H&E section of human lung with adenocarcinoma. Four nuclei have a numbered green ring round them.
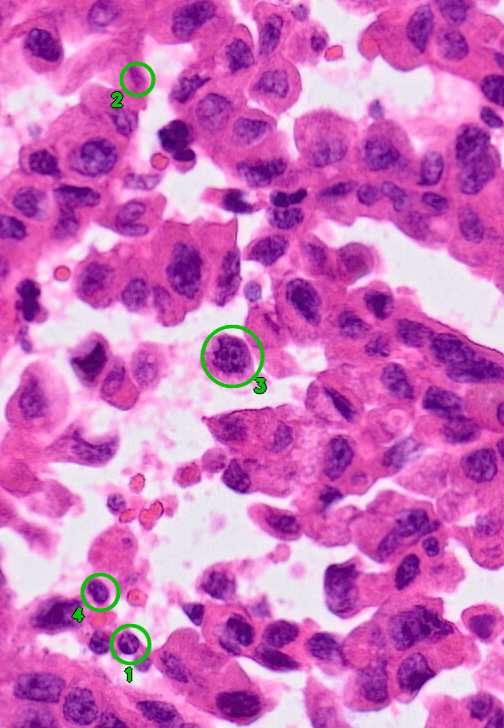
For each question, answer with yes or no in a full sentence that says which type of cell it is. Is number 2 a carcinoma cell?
Yes, on this slide, the cell with number 2 is a carcinoma cell.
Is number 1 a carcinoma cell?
No, the nucleus numbered 1 belongs to a lymphocyte, not a carcinoma cell.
